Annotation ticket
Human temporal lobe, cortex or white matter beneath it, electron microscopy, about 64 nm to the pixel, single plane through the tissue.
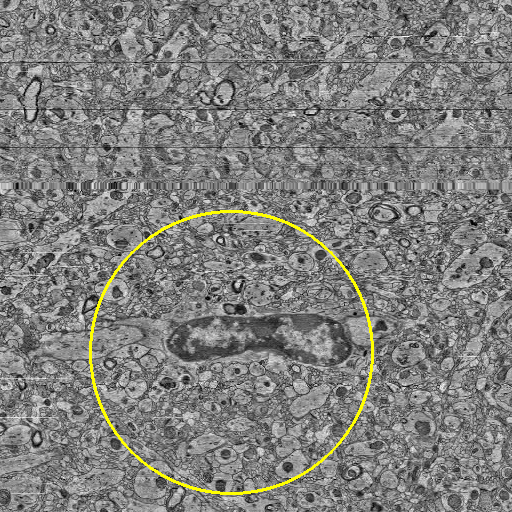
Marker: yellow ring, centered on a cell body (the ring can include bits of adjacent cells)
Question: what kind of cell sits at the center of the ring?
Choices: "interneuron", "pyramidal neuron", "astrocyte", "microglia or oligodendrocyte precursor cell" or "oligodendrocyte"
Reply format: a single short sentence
The ring is centered on a microglial cell or oligodendrocyte precursor cell.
